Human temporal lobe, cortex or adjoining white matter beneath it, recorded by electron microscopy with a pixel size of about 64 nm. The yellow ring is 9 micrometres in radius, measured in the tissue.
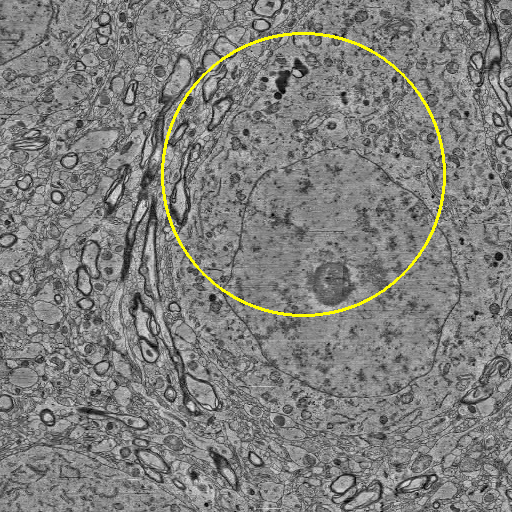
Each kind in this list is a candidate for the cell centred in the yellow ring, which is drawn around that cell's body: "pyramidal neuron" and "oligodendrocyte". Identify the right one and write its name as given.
pyramidal neuron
